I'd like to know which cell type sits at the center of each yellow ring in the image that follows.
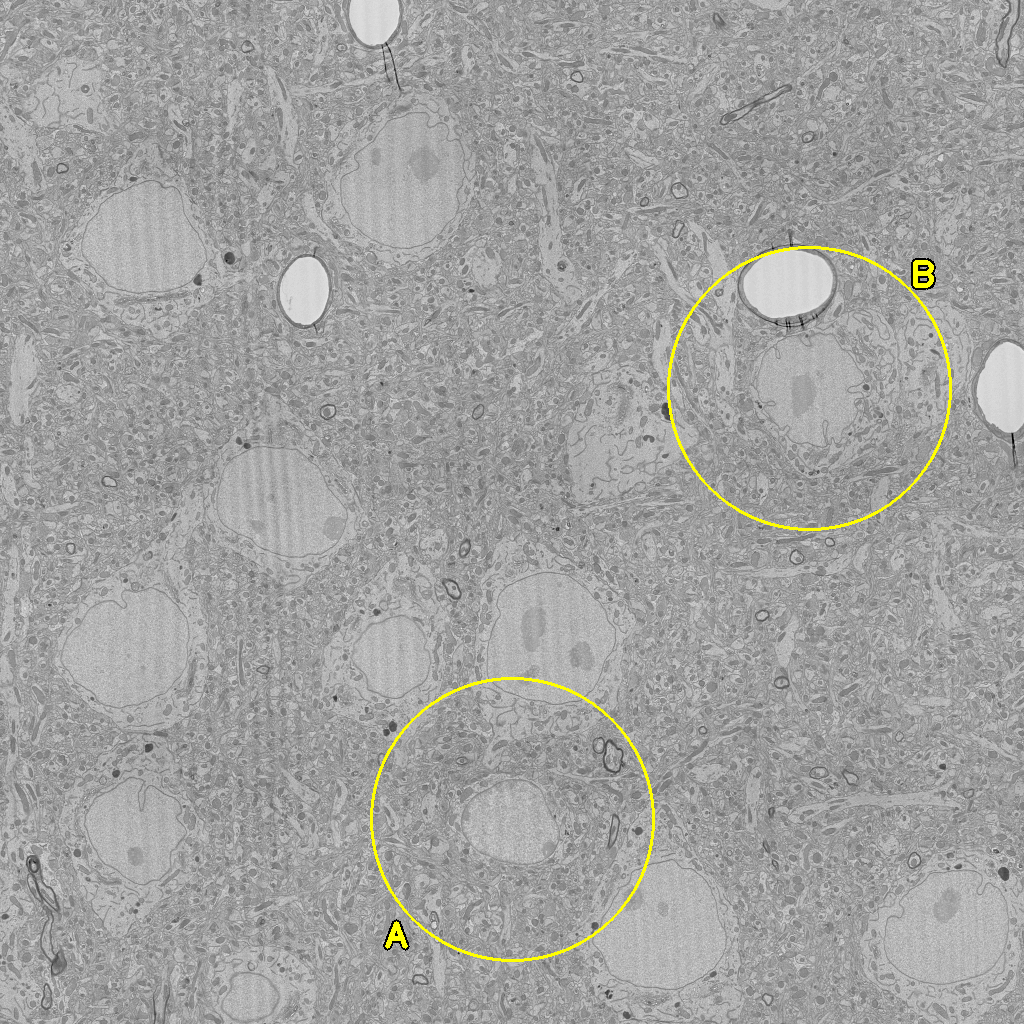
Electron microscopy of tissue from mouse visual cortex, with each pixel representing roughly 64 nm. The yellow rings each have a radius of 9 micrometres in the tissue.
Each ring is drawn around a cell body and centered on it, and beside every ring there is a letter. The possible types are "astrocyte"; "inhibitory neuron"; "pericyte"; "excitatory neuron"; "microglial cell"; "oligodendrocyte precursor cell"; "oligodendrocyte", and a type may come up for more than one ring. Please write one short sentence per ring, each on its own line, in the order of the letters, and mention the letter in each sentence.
The cell at the center of ring A is an astrocyte.
The cell at the center of ring B is an inhibitory neuron.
